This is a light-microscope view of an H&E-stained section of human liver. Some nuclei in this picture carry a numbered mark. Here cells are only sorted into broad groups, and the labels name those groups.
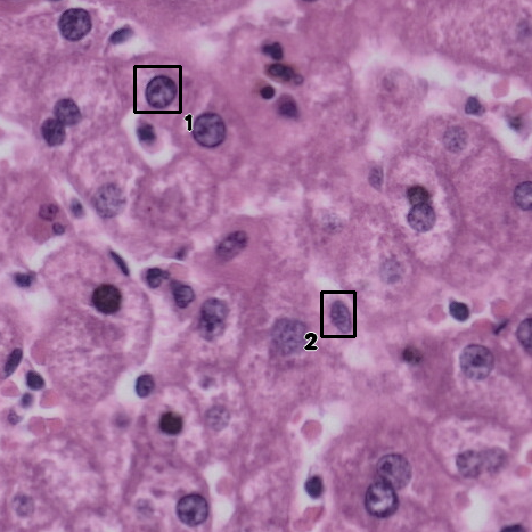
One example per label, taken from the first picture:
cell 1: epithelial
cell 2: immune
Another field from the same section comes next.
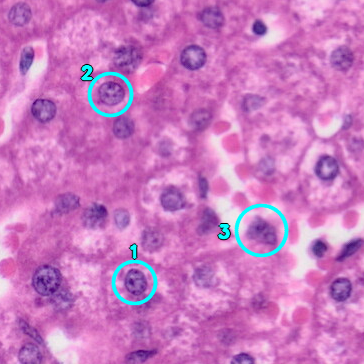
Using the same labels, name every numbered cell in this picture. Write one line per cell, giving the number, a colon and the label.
1: epithelial
2: epithelial
3: immune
